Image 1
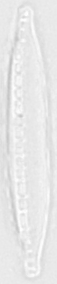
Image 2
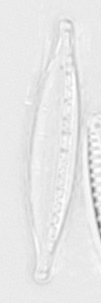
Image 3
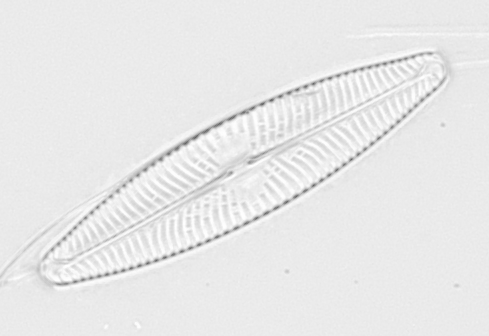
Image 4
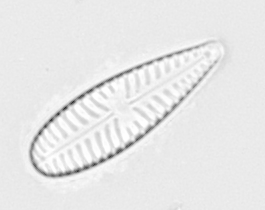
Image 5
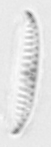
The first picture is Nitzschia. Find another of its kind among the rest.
Picture 2.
